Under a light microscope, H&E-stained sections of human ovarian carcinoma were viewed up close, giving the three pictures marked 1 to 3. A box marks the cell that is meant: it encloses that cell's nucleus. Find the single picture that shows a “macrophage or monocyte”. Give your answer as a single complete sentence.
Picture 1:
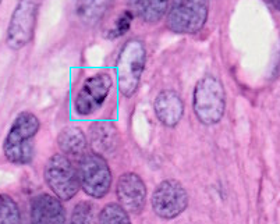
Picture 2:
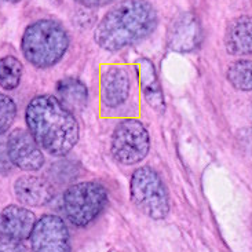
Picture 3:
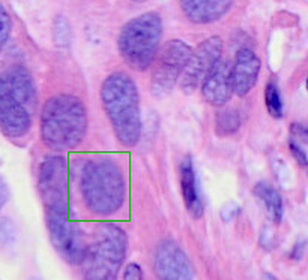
The picture with the “macrophage or monocyte” is 1.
